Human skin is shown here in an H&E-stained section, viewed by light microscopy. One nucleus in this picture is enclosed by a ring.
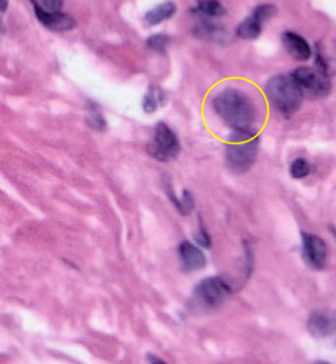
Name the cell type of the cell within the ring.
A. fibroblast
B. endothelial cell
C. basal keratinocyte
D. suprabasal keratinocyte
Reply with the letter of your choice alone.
B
